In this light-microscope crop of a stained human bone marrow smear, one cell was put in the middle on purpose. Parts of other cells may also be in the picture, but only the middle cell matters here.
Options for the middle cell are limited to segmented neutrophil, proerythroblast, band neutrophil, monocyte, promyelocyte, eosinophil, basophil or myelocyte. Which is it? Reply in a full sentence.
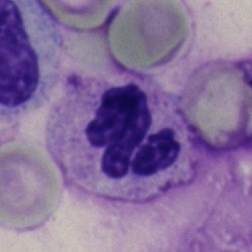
At the middle of the frame sits a segmented neutrophil.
